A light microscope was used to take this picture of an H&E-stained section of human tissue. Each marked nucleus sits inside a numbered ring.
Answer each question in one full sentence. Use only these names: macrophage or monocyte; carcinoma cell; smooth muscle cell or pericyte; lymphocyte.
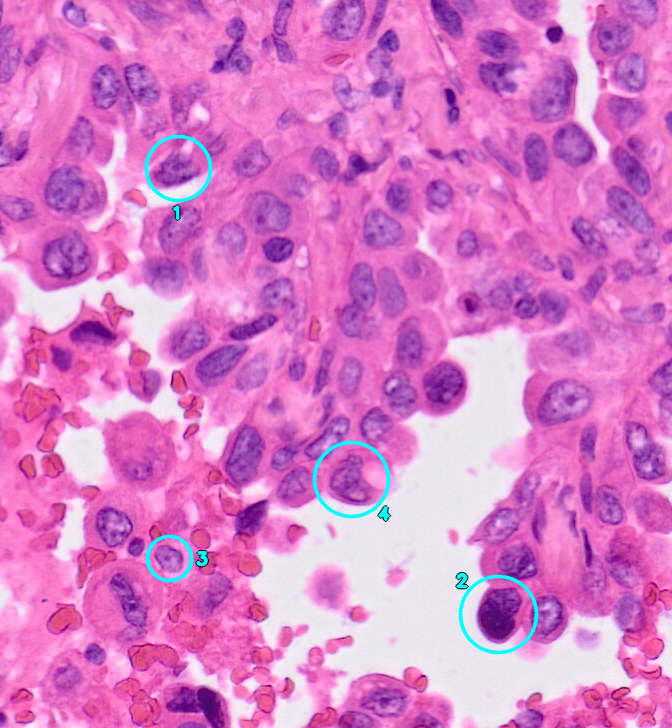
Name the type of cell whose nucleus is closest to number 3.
Number 3 lies closest to the nucleus of a lymphocyte.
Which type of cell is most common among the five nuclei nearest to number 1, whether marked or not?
Carcinoma cells account for more than half of the five nuclei nearest to number 1.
